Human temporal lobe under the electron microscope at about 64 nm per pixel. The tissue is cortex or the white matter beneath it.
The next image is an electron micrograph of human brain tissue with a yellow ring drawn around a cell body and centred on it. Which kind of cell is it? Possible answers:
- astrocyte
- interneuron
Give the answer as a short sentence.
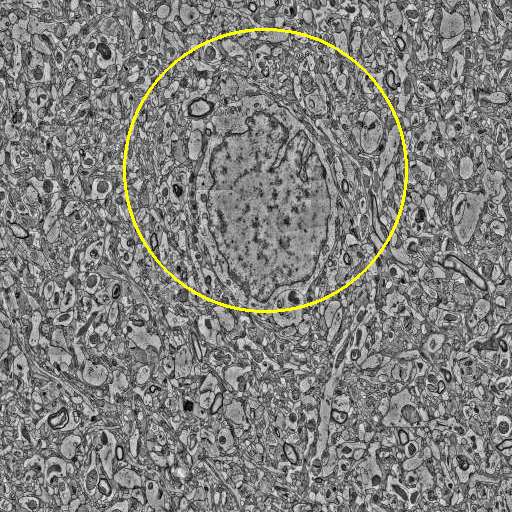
In the ring's centre is an interneuron.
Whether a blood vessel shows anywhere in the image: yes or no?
No, none shows.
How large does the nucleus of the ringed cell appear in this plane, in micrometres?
The nucleus of the ringed cell is approximately 11 by 8 micrometres in this plane.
